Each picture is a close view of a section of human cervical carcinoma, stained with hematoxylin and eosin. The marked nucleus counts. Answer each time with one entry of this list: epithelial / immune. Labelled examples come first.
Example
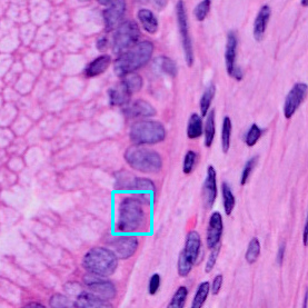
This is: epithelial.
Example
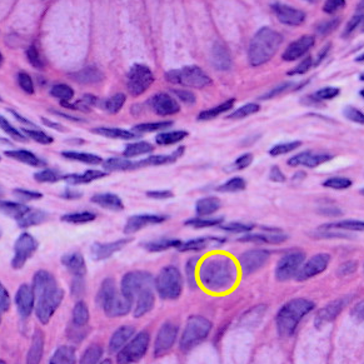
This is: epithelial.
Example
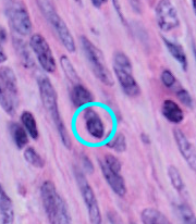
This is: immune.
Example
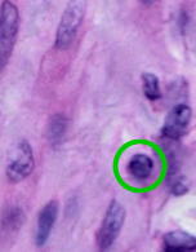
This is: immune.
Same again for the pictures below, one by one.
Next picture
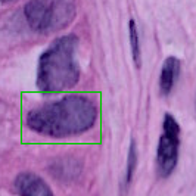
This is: epithelial.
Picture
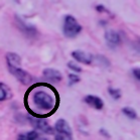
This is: immune.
